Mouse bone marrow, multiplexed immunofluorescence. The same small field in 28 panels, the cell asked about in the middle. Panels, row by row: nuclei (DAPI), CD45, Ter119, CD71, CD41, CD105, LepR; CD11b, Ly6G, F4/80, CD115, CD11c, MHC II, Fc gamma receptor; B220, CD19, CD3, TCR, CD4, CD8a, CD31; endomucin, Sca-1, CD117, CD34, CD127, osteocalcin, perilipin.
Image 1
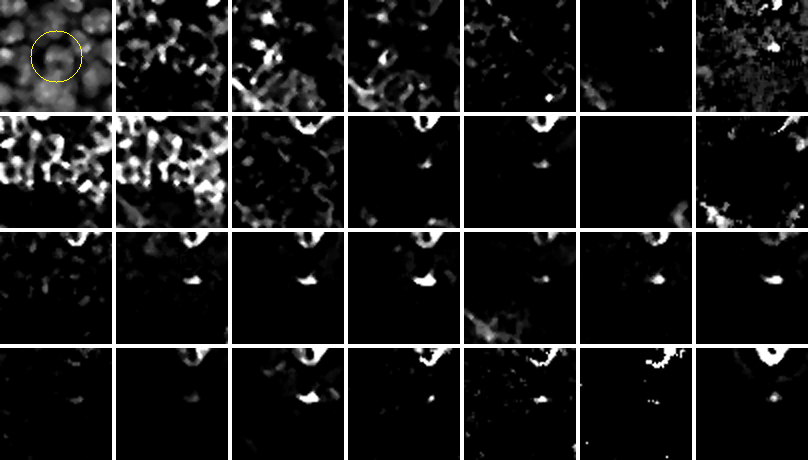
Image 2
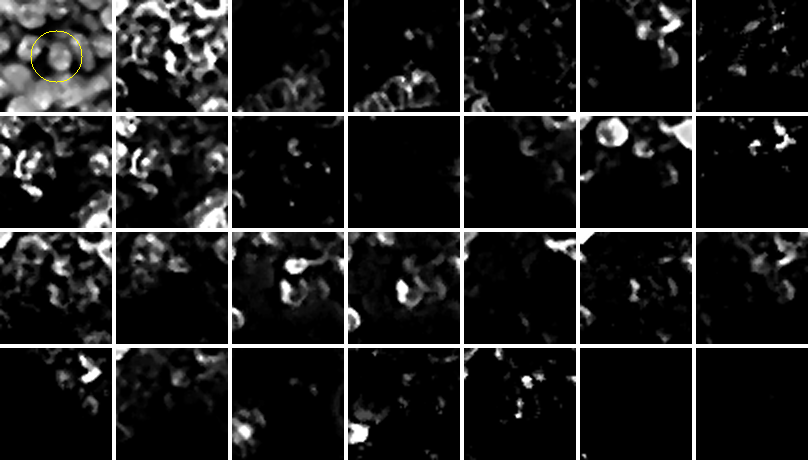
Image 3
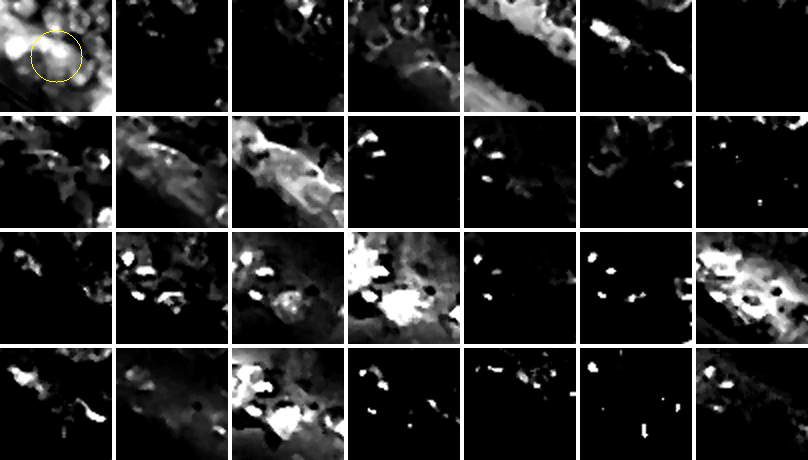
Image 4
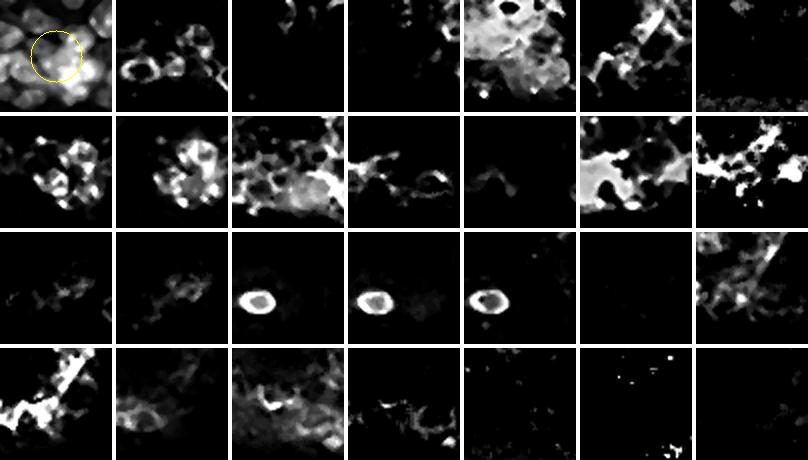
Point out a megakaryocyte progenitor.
That is picture 4.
